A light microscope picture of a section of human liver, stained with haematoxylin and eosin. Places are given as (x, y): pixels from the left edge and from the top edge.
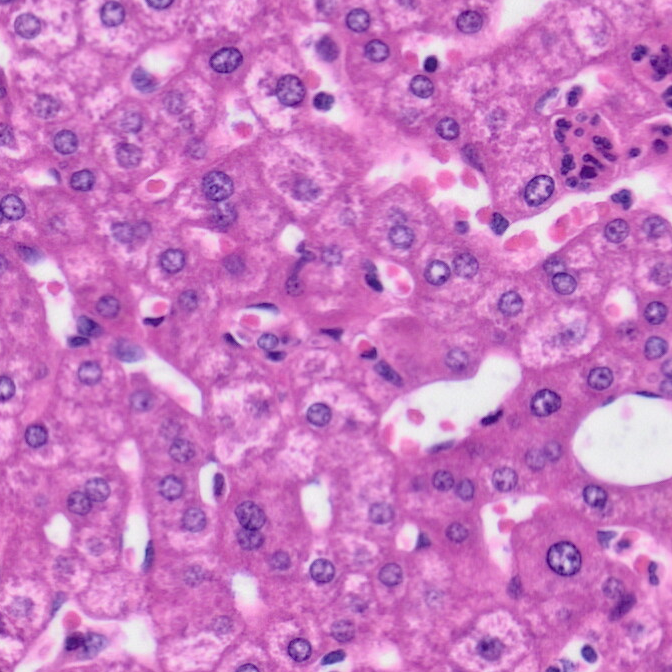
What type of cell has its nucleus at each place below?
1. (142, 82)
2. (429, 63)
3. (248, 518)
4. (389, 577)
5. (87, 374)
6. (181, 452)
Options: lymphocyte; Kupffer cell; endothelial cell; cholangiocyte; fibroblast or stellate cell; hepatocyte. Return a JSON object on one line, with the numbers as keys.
{"1": "endothelial cell", "2": "lymphocyte", "3": "hepatocyte", "4": "hepatocyte", "5": "hepatocyte", "6": "hepatocyte"}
